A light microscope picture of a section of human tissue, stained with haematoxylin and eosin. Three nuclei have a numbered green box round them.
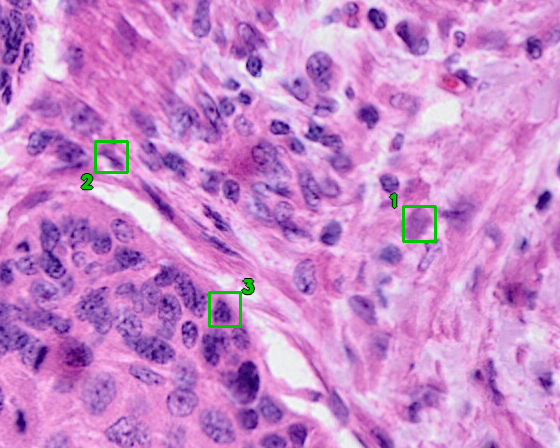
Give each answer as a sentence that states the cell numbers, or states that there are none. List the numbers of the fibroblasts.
When it comes to cells 1 and 2, they are fibroblasts.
